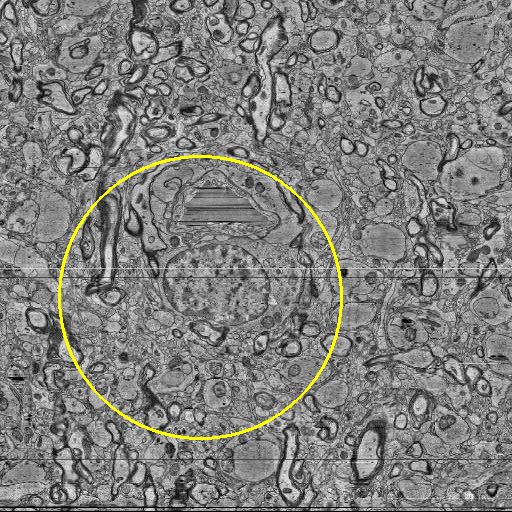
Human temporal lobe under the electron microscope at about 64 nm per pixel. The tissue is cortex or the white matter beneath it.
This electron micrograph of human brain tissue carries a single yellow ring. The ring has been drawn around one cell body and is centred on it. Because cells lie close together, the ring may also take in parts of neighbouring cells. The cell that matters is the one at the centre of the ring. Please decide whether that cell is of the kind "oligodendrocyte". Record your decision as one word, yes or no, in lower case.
yes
